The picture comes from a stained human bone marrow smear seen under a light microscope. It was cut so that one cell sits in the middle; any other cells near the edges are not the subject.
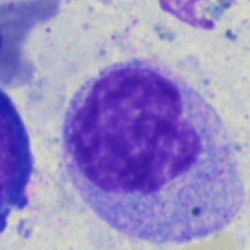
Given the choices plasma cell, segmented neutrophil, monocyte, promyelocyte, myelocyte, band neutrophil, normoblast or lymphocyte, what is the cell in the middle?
monocyte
